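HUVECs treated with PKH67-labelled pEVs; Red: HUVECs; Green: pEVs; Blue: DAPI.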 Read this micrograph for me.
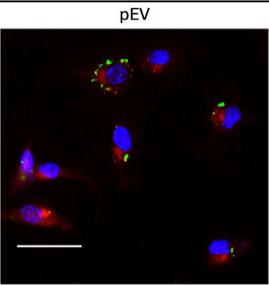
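Several widely spaced cultured cells lie on a dark background, each with an oval blue nucleus. Their cytoplasm shows faint red and is elongated or irregular in outline. Bright green dots sit beside or around the nuclei of most cells, and in one cell many such dots form a ring around the nucleus.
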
